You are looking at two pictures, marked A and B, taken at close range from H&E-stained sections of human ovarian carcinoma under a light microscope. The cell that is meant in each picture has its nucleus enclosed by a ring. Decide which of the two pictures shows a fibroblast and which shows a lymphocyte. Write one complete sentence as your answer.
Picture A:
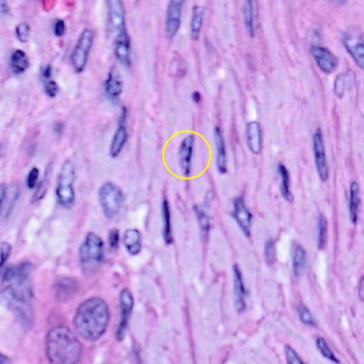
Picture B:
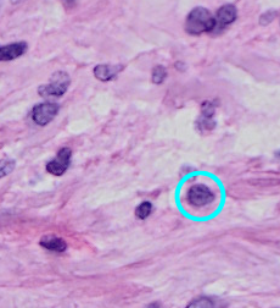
It is picture A that shows a fibroblast, and picture B that shows a lymphocyte.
